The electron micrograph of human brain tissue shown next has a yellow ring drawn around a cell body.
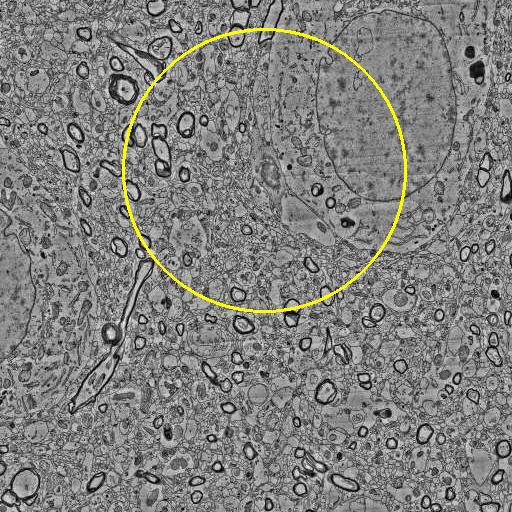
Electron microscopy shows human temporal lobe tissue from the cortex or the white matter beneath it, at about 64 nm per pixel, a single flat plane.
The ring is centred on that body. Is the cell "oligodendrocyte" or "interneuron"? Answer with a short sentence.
The cell in question is an oligodendrocyte.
